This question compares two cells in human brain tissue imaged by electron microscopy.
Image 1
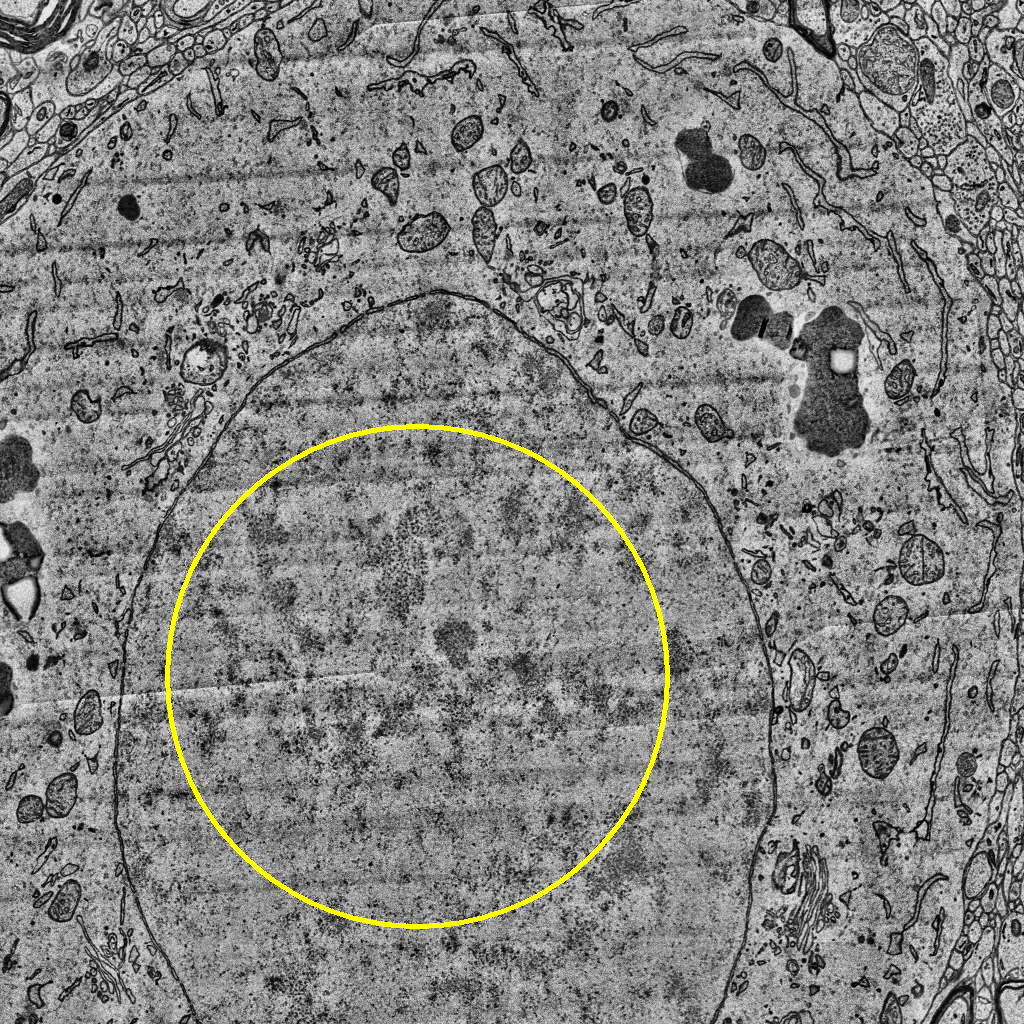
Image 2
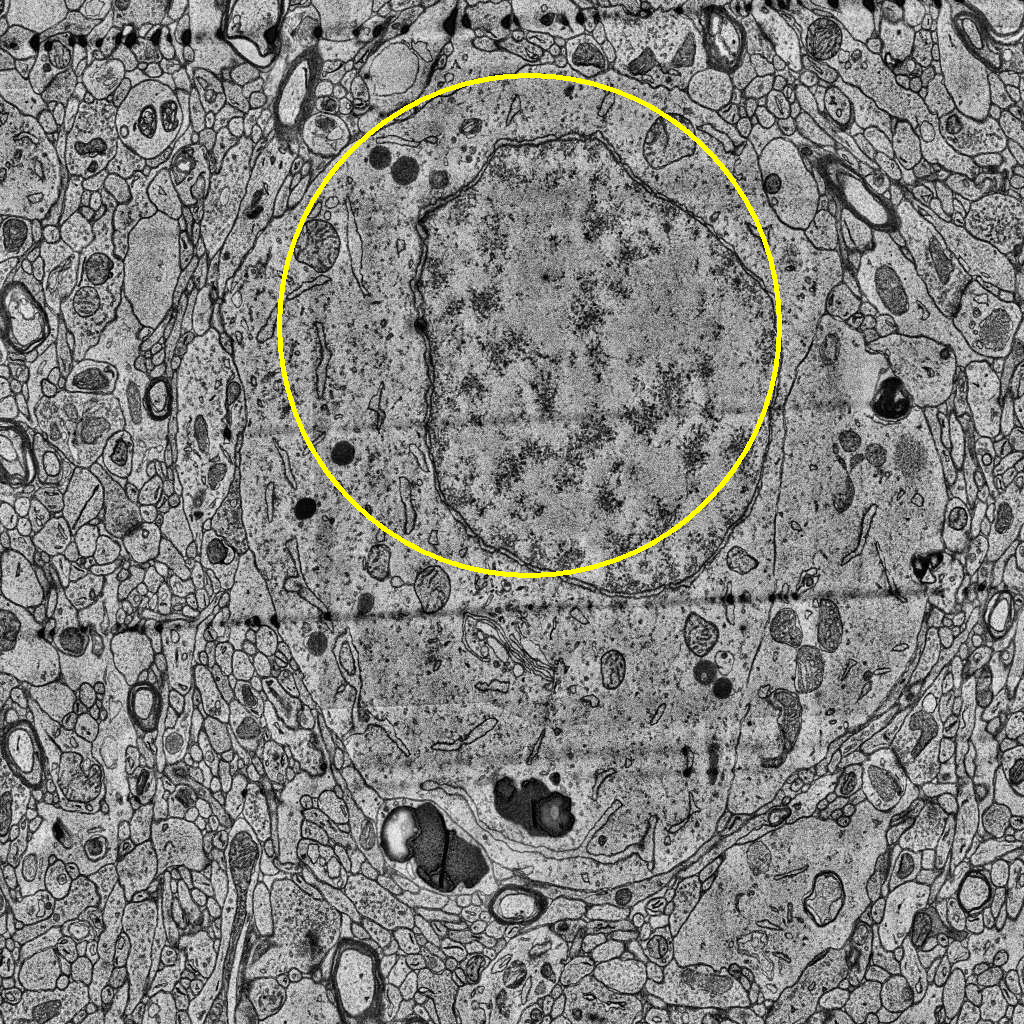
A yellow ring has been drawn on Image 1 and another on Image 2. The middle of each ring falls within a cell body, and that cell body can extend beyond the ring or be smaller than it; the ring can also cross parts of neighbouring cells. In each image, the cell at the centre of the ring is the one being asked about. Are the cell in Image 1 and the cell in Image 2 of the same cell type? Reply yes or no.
yes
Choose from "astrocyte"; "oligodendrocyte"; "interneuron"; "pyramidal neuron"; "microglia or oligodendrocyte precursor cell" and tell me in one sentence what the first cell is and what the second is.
The second cell is a pyramidal neuron, just as the first is.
